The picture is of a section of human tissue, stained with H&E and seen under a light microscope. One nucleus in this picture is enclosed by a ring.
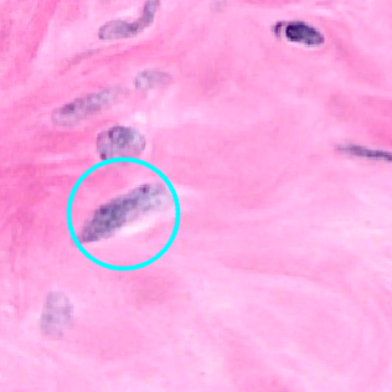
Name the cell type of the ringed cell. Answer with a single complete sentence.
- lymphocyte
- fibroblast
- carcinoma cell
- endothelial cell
The category to which the ringed cell belongs is that of a fibroblast.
